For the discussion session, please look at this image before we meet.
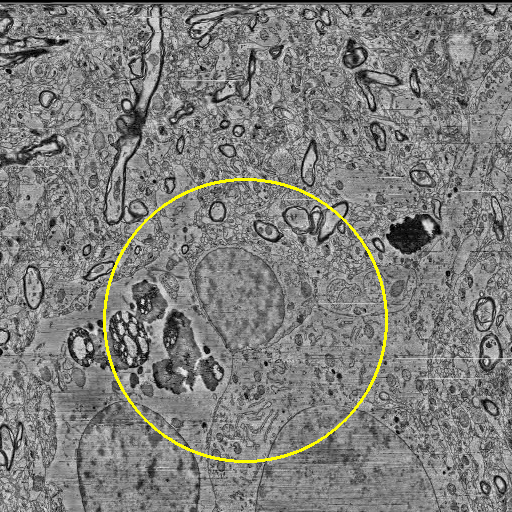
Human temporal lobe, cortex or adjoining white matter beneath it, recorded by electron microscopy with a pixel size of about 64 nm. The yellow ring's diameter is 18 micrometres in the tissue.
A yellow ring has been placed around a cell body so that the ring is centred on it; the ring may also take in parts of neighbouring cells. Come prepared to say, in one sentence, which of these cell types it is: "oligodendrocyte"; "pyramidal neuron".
The cell centred in the ring is an oligodendrocyte.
